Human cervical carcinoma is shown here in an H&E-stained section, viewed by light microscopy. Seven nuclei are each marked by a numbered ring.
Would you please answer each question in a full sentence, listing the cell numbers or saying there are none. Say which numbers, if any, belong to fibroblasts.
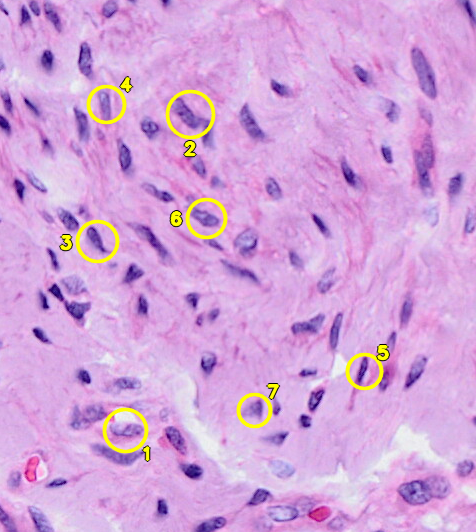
Each of the cells numbered 3 and 7 is among the fibroblasts.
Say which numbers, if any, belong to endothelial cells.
Only number 1 of the marked cells is an endothelial cell.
